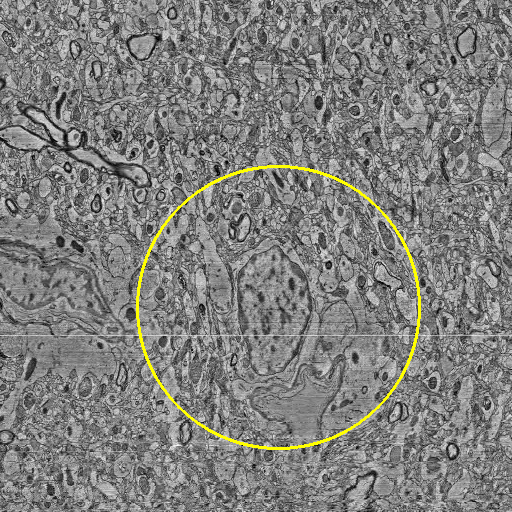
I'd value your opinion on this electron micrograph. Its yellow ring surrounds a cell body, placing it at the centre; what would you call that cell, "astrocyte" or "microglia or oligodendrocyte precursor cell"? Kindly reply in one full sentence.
It is a microglial cell or oligodendrocyte precursor cell that sits centred within the yellow ring in this micrograph.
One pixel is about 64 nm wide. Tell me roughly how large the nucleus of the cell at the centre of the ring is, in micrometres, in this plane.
At approximately 9 by 5 micrometres, the nucleus is clearly longer than it is wide in this plane.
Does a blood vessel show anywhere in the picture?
Yes, the picture includes a blood vessel.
